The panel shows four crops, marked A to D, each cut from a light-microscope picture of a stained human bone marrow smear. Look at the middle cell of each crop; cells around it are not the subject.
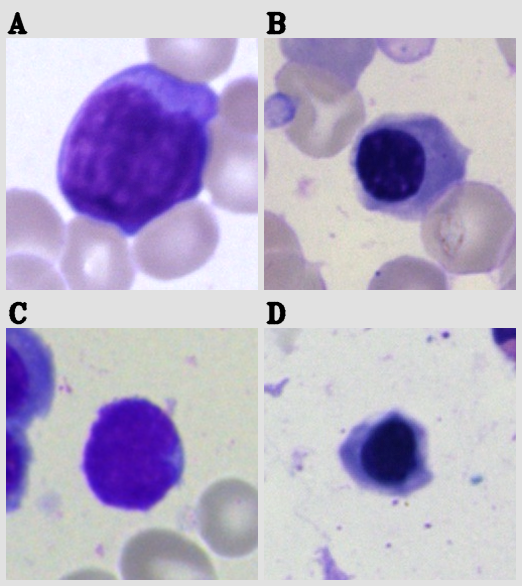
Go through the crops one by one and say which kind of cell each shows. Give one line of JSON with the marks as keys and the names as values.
{"A": "blast", "B": "normoblast", "C": "lymphocyte", "D": "normoblast"}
